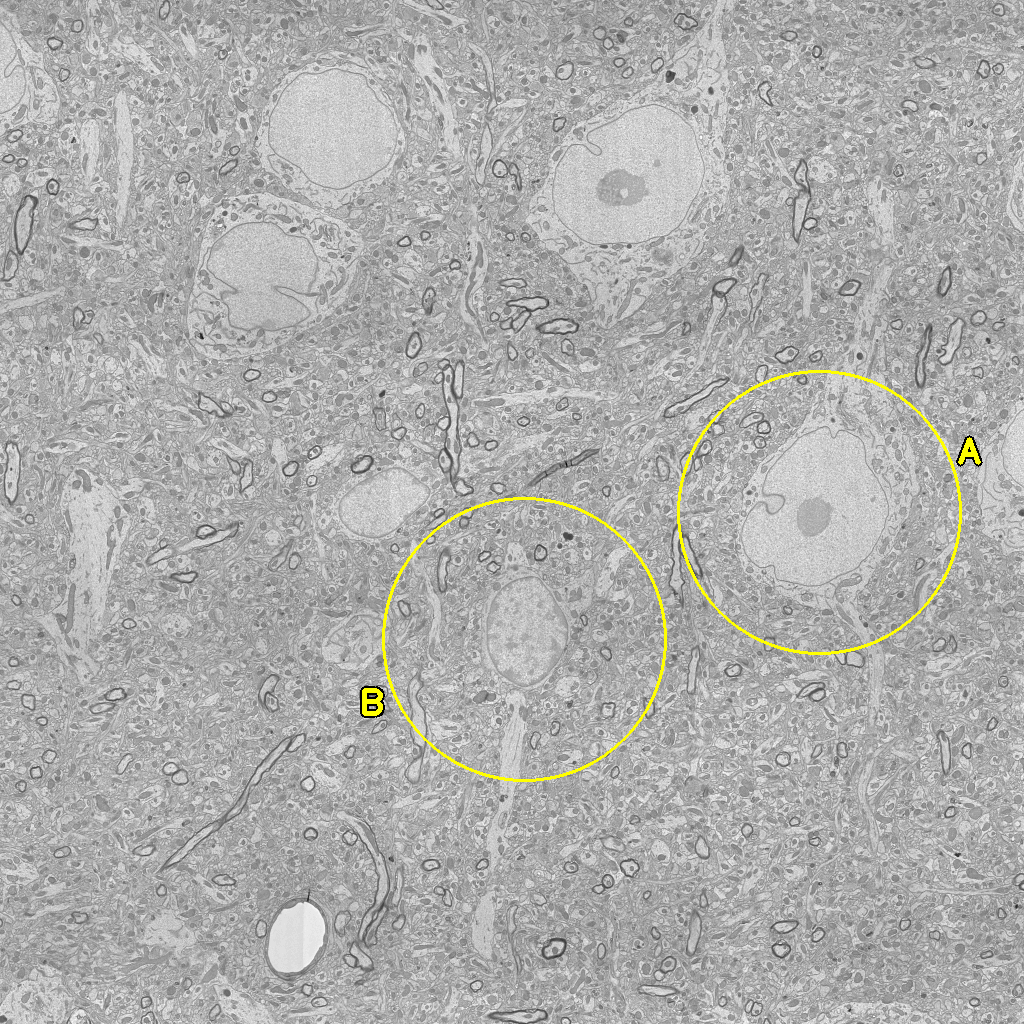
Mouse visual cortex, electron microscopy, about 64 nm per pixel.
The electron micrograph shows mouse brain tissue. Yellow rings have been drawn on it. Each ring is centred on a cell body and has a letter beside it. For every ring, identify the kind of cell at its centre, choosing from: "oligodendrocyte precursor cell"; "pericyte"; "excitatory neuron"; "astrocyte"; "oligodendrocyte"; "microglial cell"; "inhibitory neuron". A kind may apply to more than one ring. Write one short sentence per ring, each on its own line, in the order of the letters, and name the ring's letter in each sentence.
Ring A is centred on an excitatory neuron.
Ring B is centred on an oligodendrocyte.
